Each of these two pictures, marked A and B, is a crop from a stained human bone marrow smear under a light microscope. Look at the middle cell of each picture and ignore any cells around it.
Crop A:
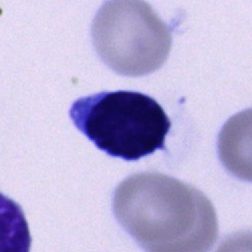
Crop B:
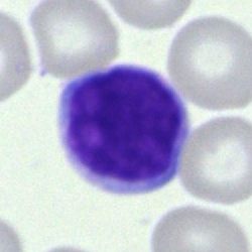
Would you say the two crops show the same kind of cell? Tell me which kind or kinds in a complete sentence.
Yes, it is lymphocytes that occupy the middle of both crops.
